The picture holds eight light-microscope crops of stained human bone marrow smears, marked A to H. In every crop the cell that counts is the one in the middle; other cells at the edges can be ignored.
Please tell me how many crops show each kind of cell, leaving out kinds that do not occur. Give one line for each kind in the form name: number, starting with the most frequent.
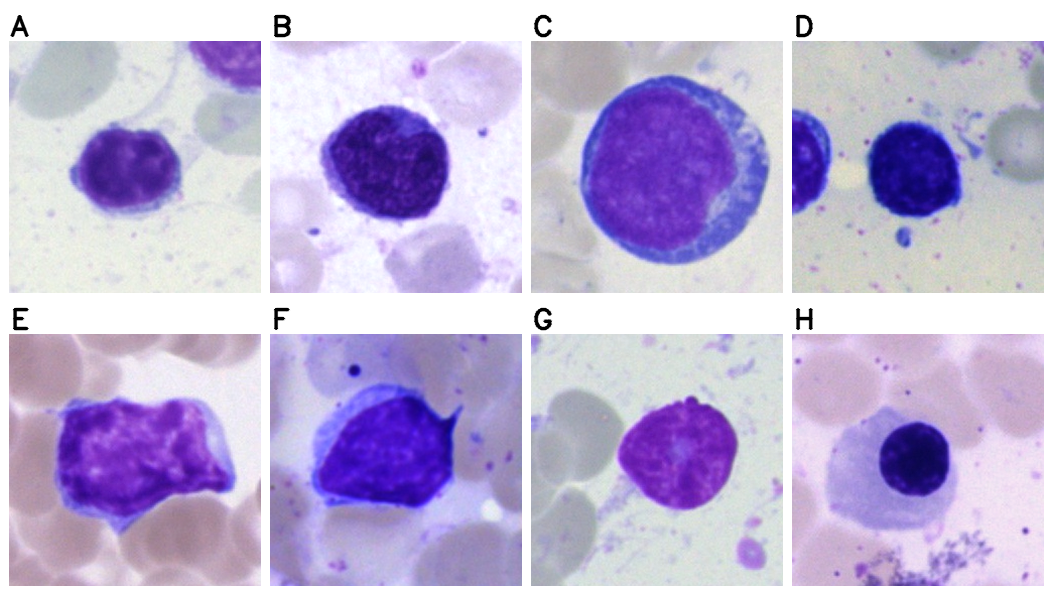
lymphocyte: 4
blast: 3
erythroblast: 1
